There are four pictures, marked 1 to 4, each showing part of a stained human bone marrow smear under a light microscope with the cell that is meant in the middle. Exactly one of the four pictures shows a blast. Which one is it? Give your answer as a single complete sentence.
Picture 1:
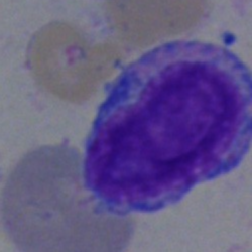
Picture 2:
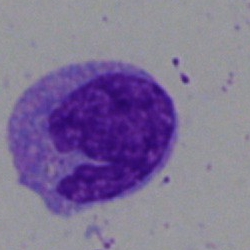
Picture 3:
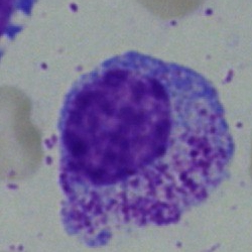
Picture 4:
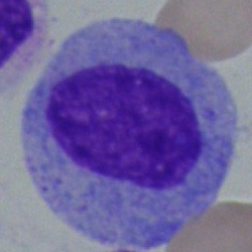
It is picture 1 that shows the blast.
